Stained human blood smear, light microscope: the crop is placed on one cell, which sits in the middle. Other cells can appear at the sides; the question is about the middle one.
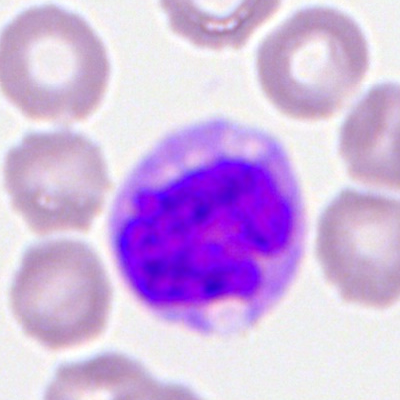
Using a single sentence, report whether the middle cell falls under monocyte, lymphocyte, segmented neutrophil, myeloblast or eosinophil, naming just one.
The cell of interest, in the center, is a monocyte.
